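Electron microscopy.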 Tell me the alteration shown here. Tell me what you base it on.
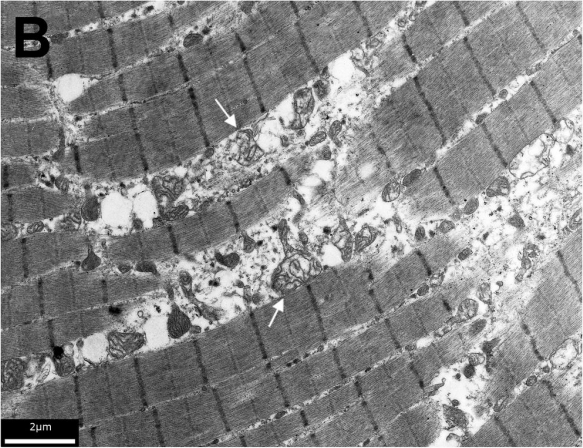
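Wide pale gaps separate the bundles of striated myofibrils. The gaps hold vacuoles, membranes and mitochondria.
Answer: enlargement of the sarcoplasmic space between myofibrils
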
